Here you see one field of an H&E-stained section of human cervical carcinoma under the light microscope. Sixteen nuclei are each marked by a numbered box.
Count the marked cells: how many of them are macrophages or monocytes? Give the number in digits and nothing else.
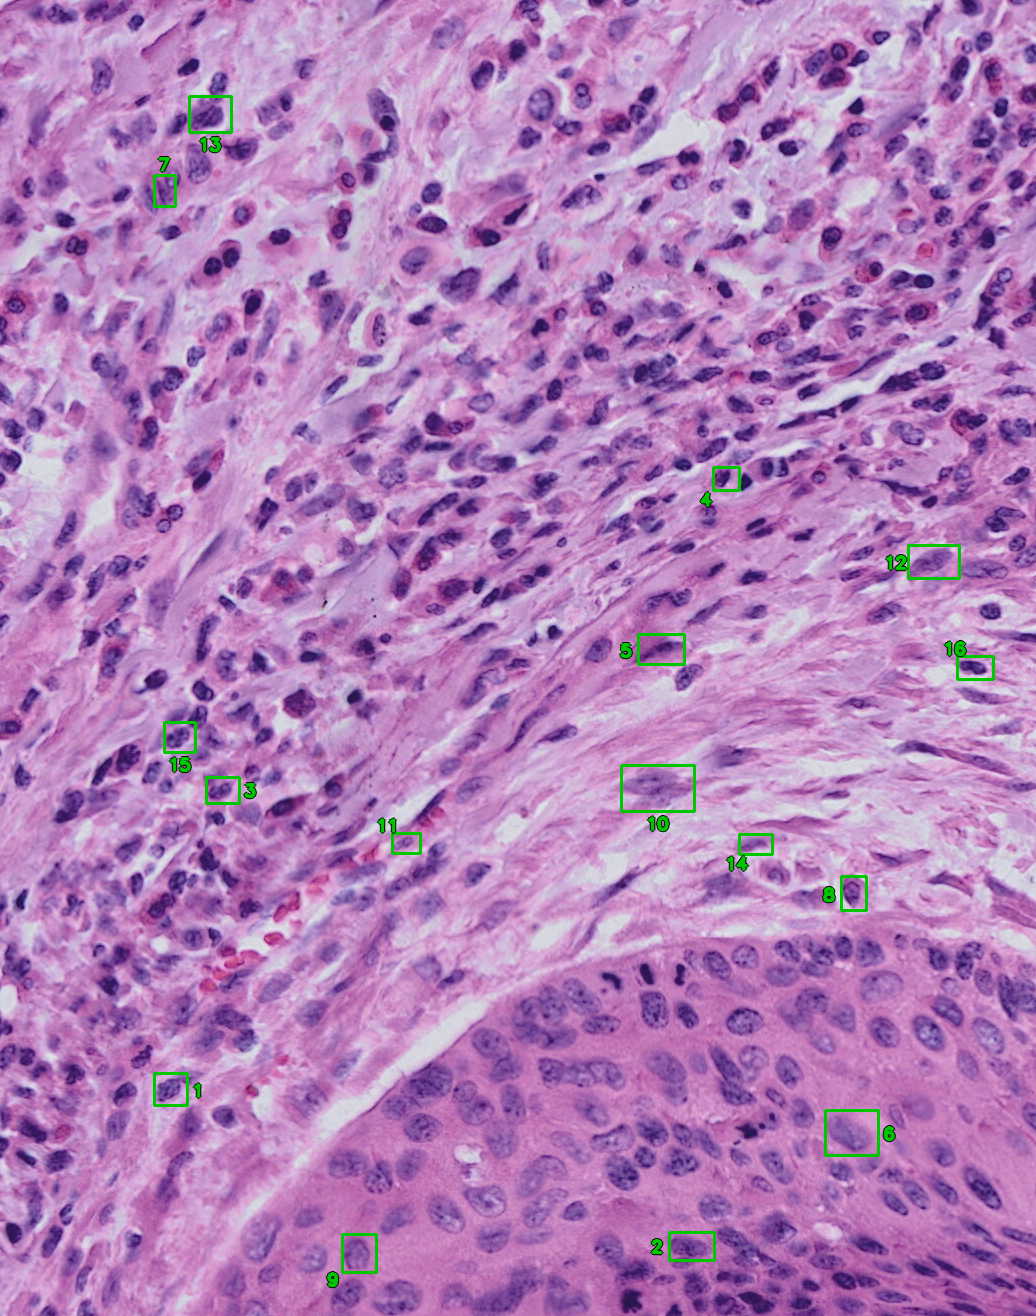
3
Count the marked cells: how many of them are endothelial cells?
2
